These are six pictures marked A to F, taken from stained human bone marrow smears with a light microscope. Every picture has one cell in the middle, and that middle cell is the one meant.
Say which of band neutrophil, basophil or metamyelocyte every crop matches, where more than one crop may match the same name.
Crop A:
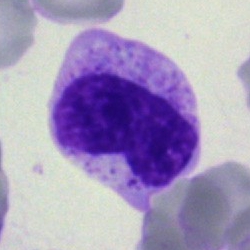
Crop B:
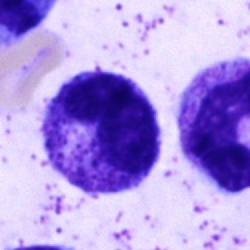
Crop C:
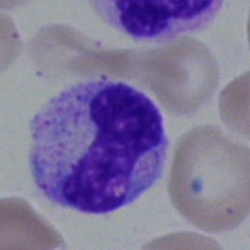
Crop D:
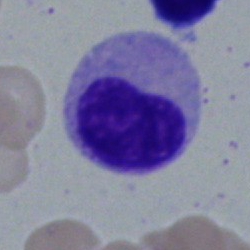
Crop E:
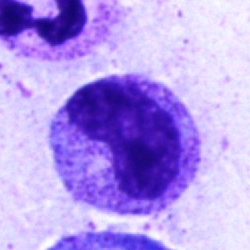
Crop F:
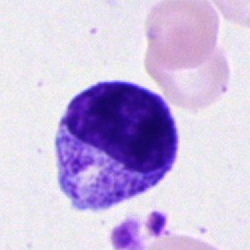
A: metamyelocyte
B: metamyelocyte
C: band neutrophil
D: metamyelocyte
E: metamyelocyte
F: metamyelocyte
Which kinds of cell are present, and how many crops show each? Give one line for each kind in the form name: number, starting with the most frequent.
metamyelocyte: 5
band neutrophil: 1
